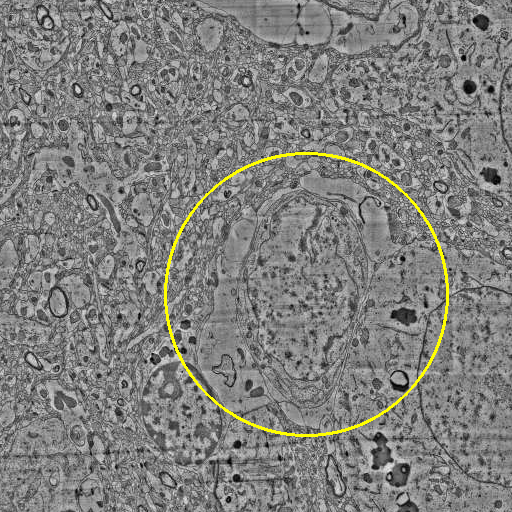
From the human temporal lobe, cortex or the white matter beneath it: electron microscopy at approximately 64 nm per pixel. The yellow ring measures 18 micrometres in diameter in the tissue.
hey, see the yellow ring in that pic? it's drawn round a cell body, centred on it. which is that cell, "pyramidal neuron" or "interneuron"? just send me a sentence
The cell in the ring is an interneuron.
